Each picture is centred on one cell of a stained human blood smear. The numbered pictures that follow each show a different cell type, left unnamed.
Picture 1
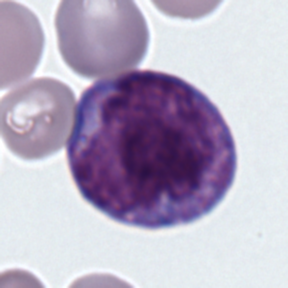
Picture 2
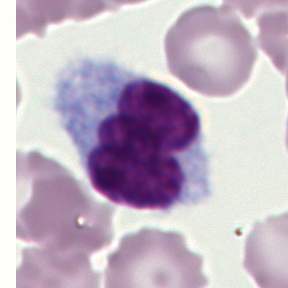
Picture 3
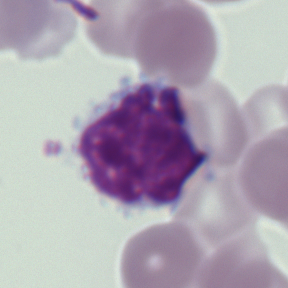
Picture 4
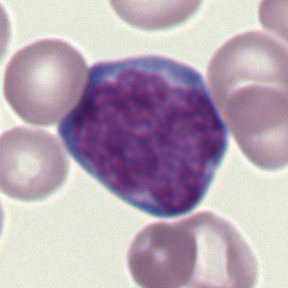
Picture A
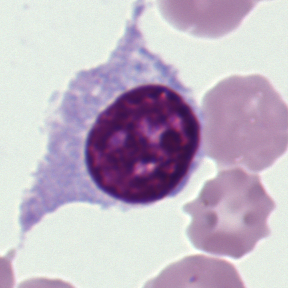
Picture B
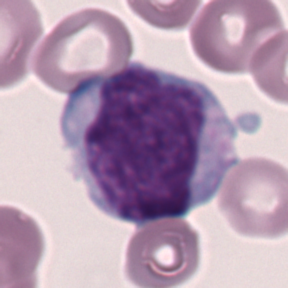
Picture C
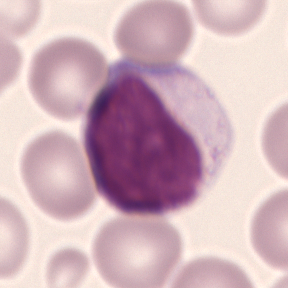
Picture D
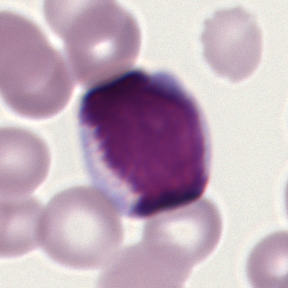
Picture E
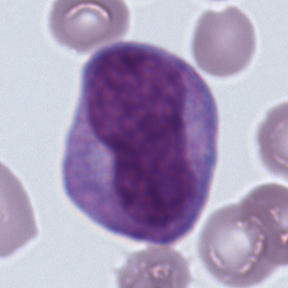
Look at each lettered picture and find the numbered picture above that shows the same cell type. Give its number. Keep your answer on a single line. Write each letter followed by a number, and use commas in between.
A 2, B 1, C 3, D 3, E 1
